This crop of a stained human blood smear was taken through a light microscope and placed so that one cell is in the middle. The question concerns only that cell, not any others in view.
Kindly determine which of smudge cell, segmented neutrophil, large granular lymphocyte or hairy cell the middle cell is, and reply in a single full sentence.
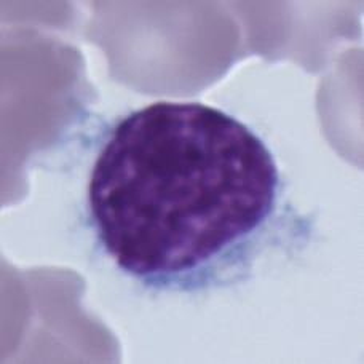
The middle of this crop is occupied by a hairy cell.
